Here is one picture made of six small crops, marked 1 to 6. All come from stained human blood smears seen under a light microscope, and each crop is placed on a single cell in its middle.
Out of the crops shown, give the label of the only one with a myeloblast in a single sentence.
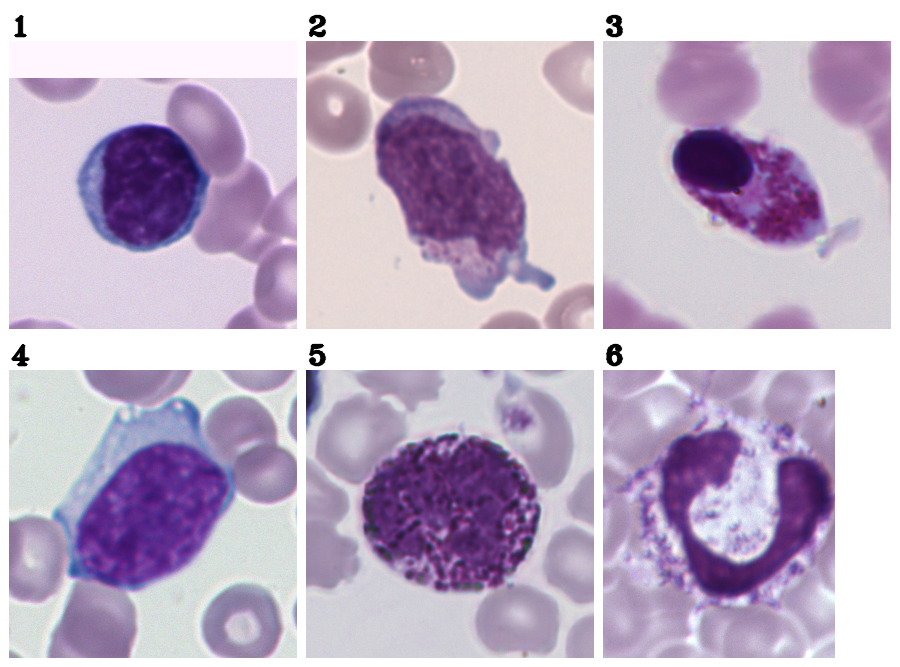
Crop 4 is the single crop that shows a myeloblast.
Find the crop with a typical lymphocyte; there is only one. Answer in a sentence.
The crop in which a typical lymphocyte is shown is crop 1.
